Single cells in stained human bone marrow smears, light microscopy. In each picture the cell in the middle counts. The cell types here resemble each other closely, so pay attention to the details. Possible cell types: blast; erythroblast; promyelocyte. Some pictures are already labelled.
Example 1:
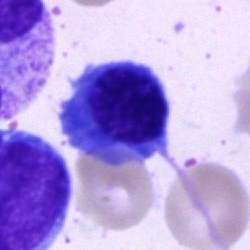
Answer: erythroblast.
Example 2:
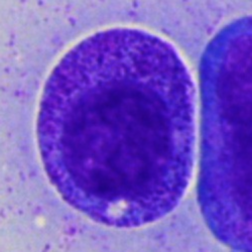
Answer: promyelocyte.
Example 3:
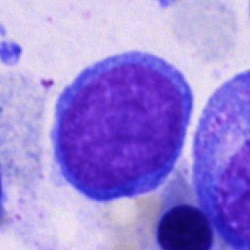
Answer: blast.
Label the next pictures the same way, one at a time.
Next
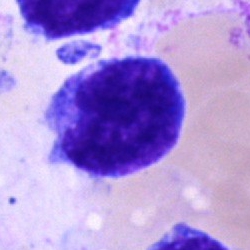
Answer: blast.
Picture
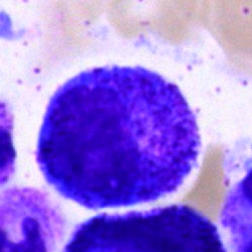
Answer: promyelocyte.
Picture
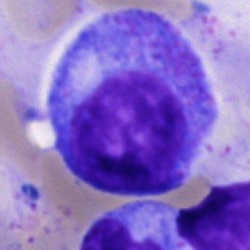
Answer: promyelocyte.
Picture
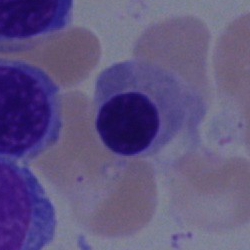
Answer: erythroblast.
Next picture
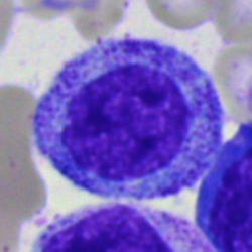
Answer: promyelocyte.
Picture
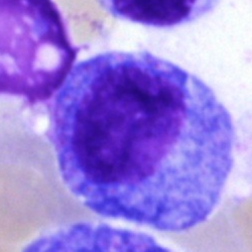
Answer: promyelocyte.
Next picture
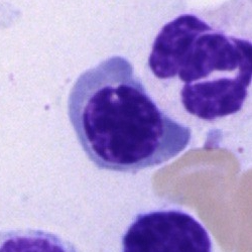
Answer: erythroblast.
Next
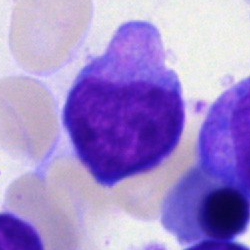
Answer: blast.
